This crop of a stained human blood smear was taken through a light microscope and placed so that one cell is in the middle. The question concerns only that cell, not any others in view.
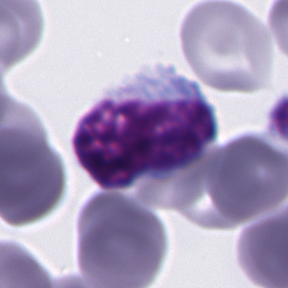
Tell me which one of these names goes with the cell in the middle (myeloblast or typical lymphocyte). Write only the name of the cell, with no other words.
typical lymphocyte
